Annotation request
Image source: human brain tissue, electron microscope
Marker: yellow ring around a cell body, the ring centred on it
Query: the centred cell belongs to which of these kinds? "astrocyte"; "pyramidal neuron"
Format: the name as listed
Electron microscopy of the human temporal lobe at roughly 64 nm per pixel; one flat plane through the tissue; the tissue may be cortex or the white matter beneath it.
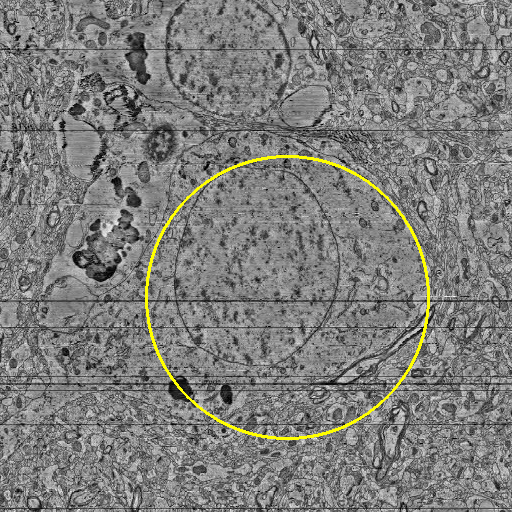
pyramidal neuron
